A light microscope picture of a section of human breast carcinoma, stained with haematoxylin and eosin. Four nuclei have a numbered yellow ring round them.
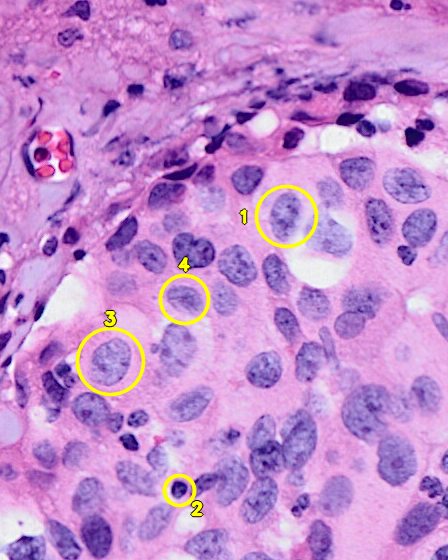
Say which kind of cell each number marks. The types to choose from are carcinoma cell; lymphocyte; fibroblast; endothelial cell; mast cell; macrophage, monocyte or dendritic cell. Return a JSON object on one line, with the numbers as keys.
{"1": "carcinoma cell", "2": "lymphocyte", "3": "carcinoma cell", "4": "carcinoma cell"}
